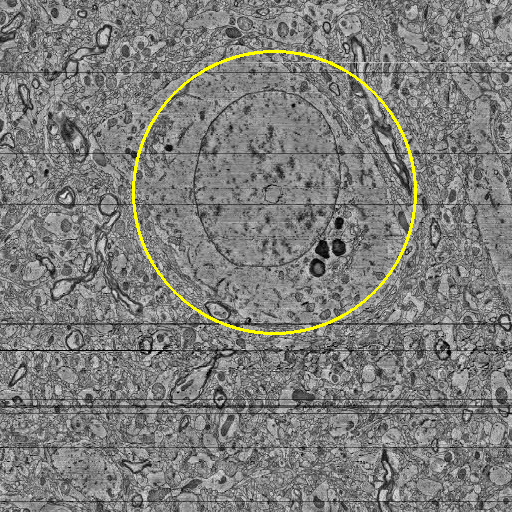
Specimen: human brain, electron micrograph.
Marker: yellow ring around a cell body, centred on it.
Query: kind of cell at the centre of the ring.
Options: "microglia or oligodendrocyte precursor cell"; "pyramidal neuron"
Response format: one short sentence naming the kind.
This cell body belongs to a pyramidal neuron.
